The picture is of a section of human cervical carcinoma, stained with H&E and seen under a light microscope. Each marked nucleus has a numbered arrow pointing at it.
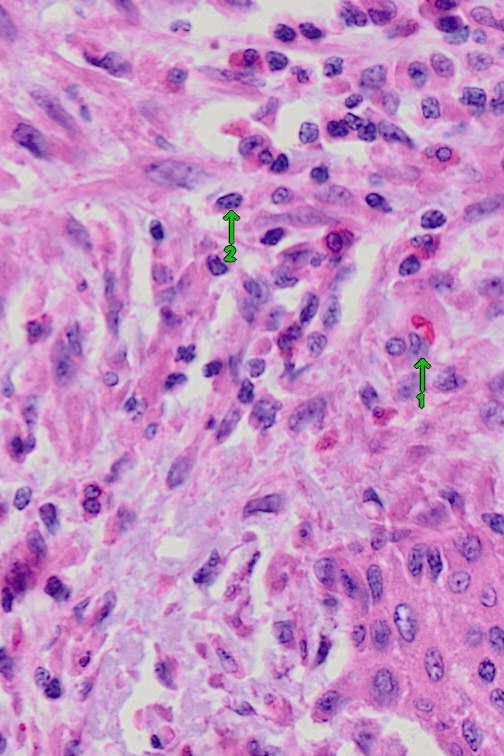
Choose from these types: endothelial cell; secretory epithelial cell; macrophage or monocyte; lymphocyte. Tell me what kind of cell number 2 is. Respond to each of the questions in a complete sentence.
Marked with the number 2, this cell is a lymphocyte.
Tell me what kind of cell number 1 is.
The numbered cell 1 is identified here as an endothelial cell.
